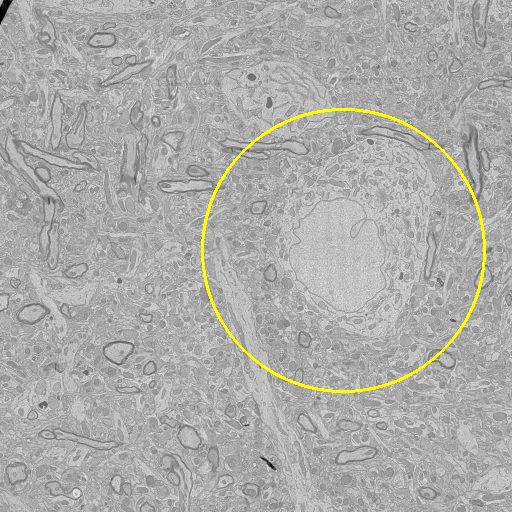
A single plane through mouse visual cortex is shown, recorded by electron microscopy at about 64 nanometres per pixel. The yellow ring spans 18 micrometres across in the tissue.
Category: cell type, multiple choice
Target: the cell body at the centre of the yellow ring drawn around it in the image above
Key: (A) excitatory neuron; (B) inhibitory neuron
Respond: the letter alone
B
